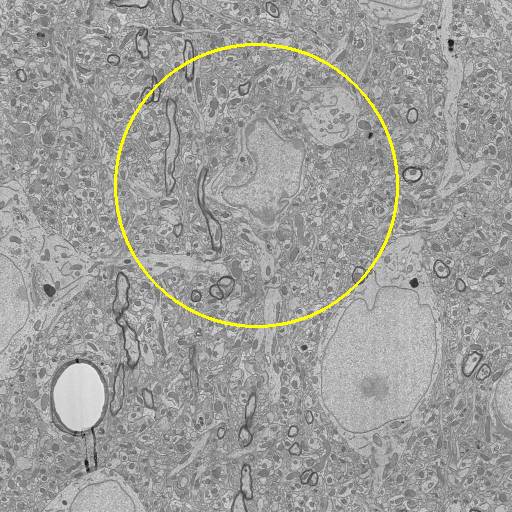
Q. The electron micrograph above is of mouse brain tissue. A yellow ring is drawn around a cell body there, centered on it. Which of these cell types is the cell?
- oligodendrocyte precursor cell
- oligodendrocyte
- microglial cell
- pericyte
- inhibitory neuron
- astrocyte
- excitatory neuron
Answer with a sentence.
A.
The cell under the ring's center is an oligodendrocyte precursor cell.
